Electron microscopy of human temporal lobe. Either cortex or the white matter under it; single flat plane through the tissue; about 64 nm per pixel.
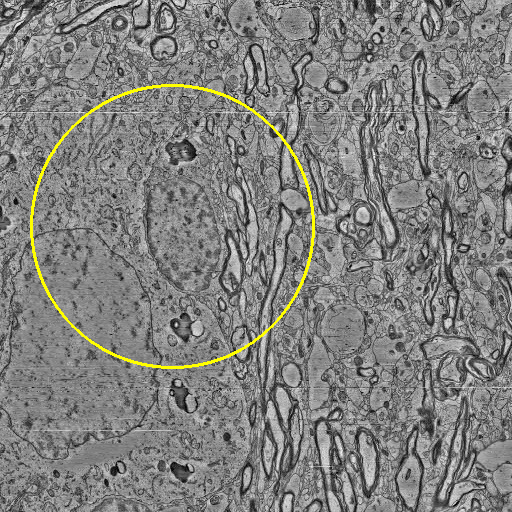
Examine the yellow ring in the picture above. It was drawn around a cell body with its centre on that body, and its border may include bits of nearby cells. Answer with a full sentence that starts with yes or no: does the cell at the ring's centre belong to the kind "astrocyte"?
No, the cell at the heart of the ring shown in the image is a different kind of cell.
